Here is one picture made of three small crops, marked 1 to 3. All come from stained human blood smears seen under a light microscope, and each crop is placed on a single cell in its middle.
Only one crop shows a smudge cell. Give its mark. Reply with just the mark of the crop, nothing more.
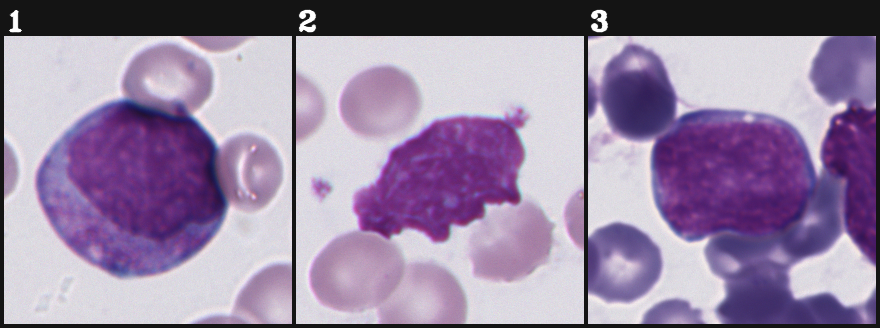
2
